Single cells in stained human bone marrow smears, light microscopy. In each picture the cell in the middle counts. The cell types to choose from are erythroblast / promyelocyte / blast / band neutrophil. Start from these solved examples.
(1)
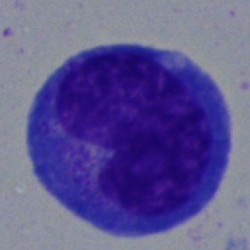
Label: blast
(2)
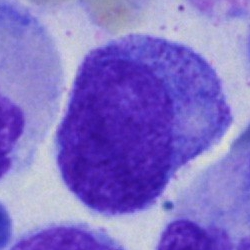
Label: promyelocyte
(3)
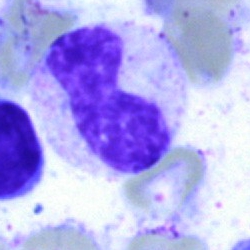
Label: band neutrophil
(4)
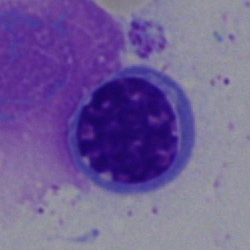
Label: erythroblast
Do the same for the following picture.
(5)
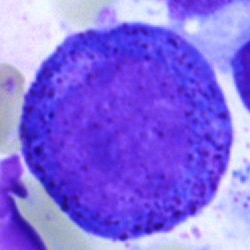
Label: promyelocyte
